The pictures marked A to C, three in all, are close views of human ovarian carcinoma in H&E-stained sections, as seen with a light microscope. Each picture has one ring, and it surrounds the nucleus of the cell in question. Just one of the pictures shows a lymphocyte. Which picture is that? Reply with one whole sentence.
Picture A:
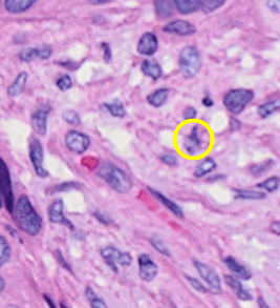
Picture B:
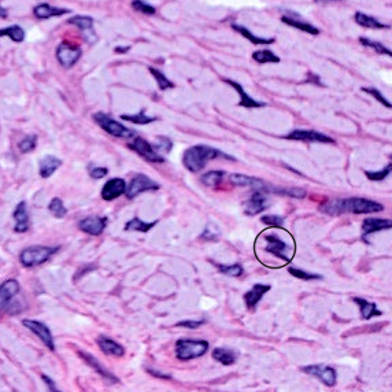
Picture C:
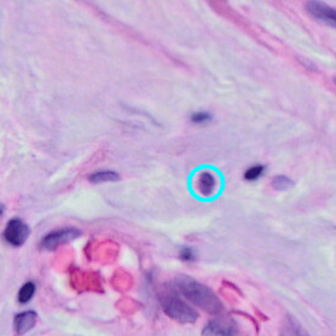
The lymphocyte is the one in picture C.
